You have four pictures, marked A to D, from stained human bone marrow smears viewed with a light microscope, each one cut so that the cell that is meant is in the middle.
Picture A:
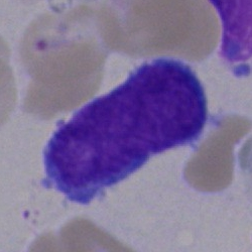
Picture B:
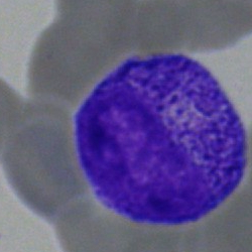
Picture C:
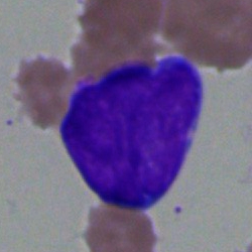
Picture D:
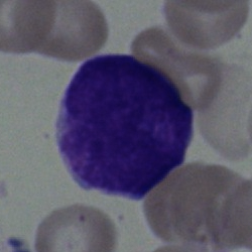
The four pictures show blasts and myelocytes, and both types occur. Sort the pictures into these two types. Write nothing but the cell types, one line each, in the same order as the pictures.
blast
myelocyte
blast
blast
